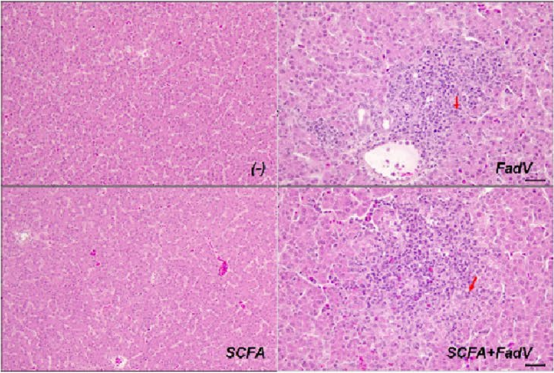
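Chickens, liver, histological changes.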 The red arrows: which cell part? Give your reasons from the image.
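Intranuclear inclusion bodies. The red arrows point into dense purple clusters of crowded, dark-nucleated cells. The parenchyma around them is pink and more loosely patterned.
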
